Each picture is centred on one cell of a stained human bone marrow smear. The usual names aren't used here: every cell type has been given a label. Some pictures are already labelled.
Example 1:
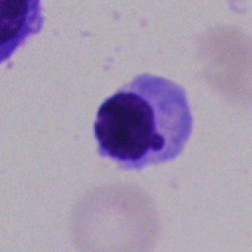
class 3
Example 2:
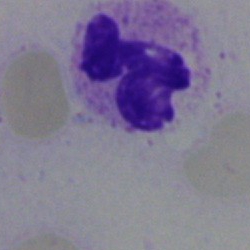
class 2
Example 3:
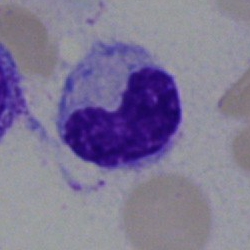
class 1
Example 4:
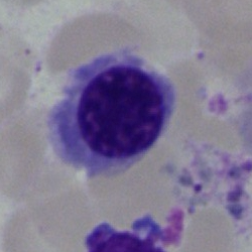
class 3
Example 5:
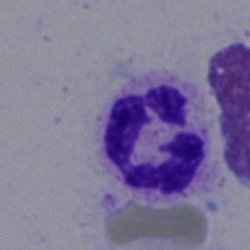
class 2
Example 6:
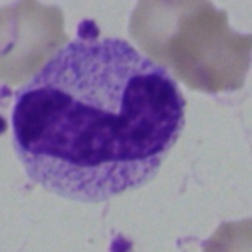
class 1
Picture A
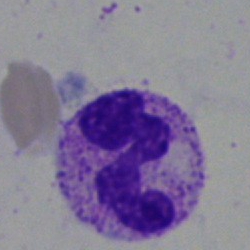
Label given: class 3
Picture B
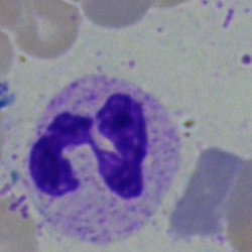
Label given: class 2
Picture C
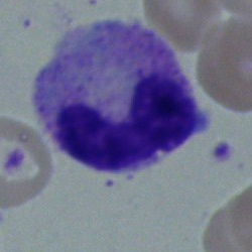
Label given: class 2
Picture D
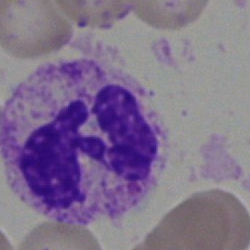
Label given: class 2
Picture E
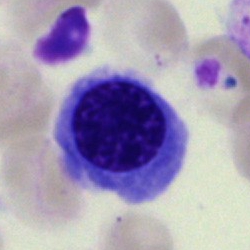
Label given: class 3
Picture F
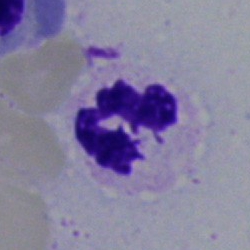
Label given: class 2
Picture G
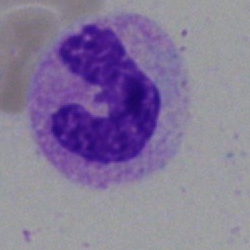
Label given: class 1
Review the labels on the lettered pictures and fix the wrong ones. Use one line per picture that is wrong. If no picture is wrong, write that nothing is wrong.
A: change class 3 to class 2
C: change class 2 to class 1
